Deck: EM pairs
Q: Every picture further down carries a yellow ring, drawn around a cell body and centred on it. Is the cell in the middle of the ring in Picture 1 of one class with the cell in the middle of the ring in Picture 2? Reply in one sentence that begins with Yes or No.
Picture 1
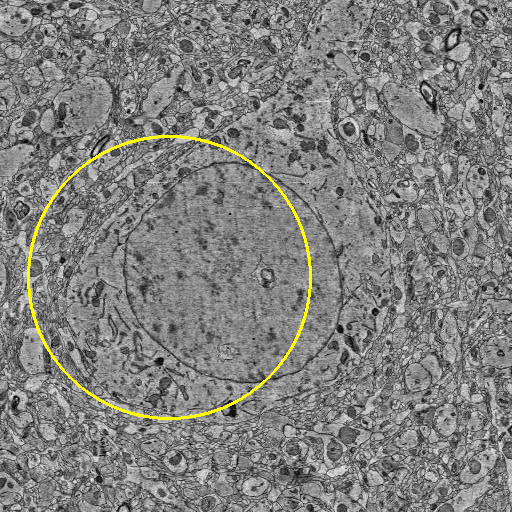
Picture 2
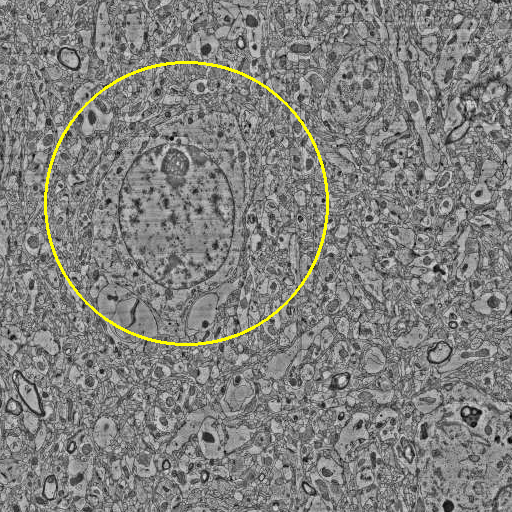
Yes, the cell centred in the ring of Picture 1 and the one in Picture 2 belong to one class.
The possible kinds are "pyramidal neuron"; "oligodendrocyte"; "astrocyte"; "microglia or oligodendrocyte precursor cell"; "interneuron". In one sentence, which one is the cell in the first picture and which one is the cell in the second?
In both pictures the ring is centred on a pyramidal neuron.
